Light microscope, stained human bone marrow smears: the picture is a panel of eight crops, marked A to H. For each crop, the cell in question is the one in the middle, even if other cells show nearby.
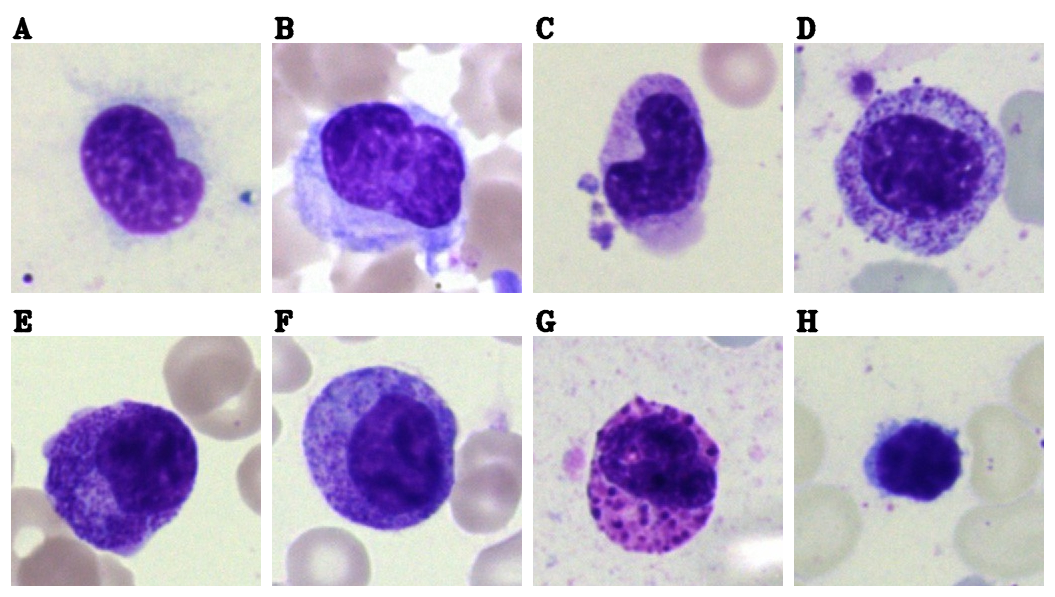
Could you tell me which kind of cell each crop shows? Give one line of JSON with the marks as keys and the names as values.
{"A": "hairy cell", "B": "hairy cell", "C": "band neutrophil", "D": "myelocyte", "E": "myelocyte", "F": "myelocyte", "G": "basophil", "H": "lymphocyte"}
